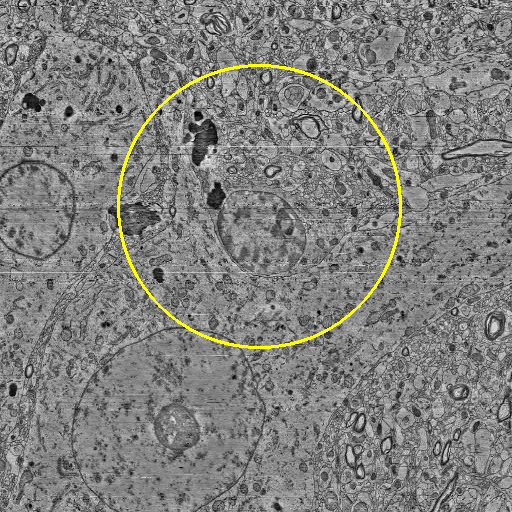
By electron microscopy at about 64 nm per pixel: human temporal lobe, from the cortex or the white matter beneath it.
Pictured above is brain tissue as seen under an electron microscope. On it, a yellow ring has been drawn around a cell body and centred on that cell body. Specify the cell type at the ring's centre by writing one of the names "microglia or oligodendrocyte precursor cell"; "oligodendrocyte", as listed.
oligodendrocyte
